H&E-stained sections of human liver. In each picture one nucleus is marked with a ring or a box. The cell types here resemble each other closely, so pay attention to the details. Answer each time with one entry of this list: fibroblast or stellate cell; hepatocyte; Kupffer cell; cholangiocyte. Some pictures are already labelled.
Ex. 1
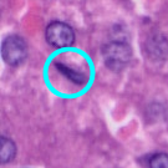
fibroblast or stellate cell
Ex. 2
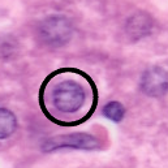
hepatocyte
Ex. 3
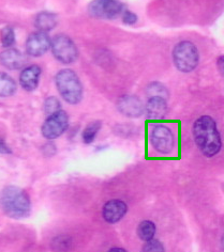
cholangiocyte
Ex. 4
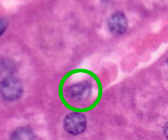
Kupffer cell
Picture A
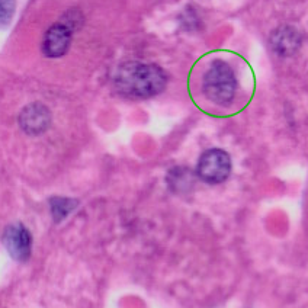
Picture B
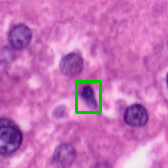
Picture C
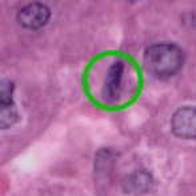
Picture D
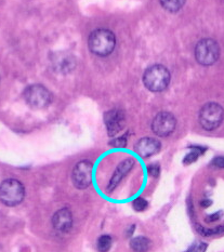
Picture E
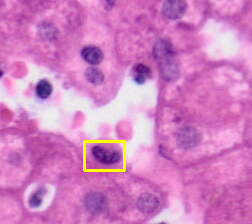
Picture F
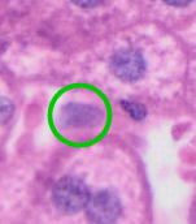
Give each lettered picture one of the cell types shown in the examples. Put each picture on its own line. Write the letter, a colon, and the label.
A: Kupffer cell
B: fibroblast or stellate cell
C: fibroblast or stellate cell
D: cholangiocyte
E: Kupffer cell
F: Kupffer cell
